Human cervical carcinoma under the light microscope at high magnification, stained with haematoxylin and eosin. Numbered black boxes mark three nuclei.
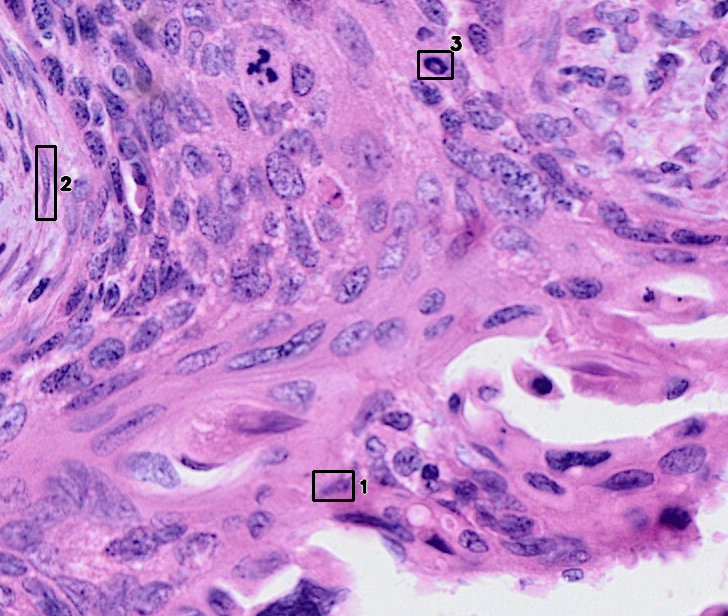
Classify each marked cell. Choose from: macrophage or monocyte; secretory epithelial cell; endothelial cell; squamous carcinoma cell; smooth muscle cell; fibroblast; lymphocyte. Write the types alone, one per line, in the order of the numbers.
squamous carcinoma cell
fibroblast
squamous carcinoma cell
